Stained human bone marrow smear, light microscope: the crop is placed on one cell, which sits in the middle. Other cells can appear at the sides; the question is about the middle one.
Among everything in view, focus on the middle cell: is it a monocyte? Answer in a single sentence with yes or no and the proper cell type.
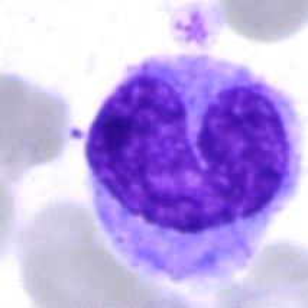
Yes, the cell at the crop's center is a monocyte.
